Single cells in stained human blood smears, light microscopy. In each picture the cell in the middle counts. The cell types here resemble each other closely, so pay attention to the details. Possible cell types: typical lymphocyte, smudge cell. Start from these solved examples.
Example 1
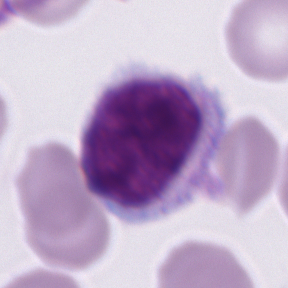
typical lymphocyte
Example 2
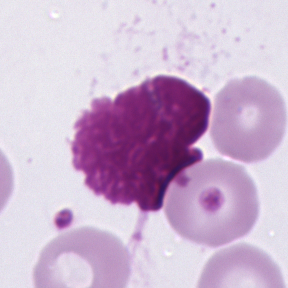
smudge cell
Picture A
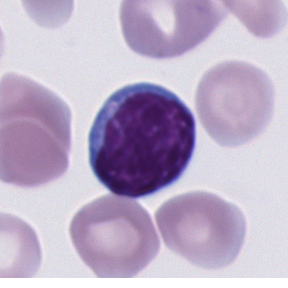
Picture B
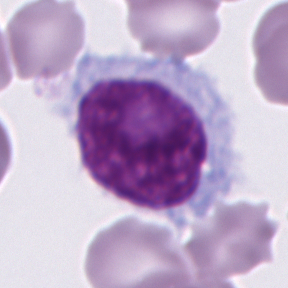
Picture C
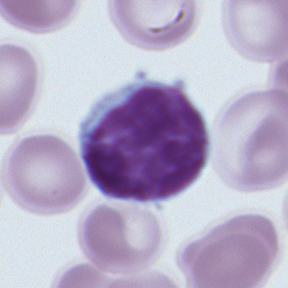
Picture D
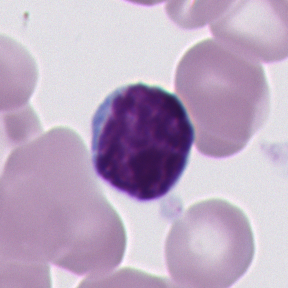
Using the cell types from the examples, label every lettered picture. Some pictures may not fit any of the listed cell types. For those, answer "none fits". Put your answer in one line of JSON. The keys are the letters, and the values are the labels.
{"A": "typical lymphocyte", "B": "none fits", "C": "typical lymphocyte", "D": "typical lymphocyte"}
